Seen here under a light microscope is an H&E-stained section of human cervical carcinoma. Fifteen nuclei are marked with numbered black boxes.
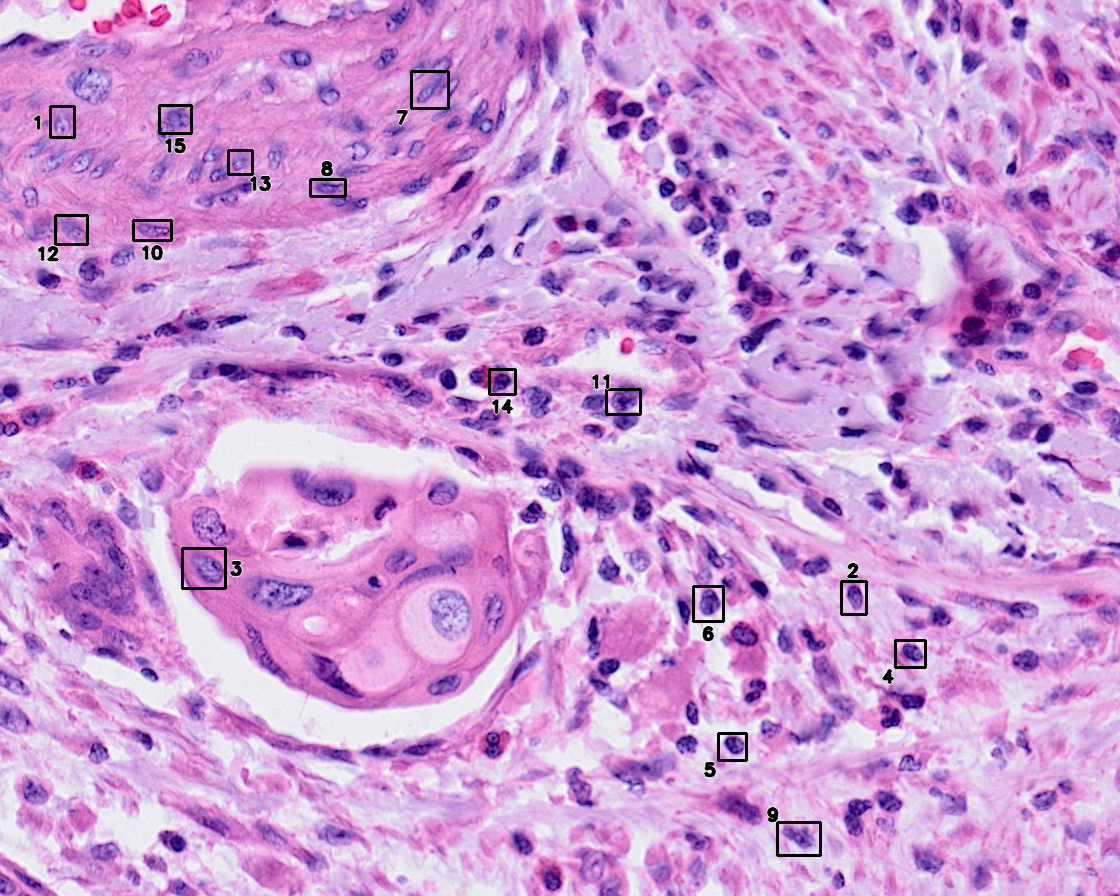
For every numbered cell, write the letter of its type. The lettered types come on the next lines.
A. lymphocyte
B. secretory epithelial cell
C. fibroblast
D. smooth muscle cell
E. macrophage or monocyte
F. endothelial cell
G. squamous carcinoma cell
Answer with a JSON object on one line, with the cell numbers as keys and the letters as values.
{"1": "D", "2": "A", "3": "G", "4": "A", "5": "A", "6": "A", "7": "D", "8": "D", "9": "E", "10": "D", "11": "A", "12": "D", "13": "D", "14": "A", "15": "D"}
